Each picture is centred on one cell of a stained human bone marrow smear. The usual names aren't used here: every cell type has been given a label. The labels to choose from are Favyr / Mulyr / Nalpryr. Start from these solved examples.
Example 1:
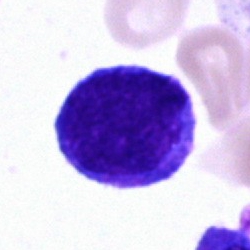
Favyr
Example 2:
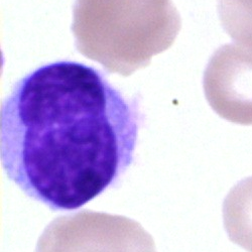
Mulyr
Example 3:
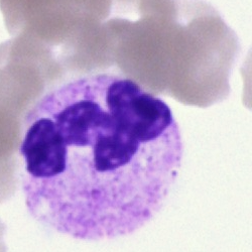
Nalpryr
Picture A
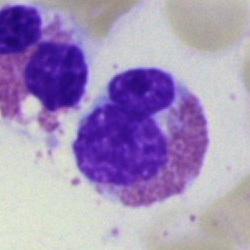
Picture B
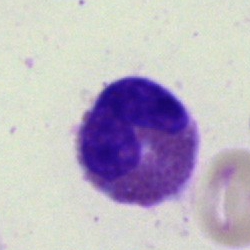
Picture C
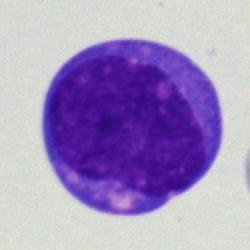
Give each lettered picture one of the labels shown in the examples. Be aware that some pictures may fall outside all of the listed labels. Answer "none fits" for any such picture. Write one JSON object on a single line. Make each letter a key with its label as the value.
{"A": "none fits", "B": "none fits", "C": "Favyr"}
